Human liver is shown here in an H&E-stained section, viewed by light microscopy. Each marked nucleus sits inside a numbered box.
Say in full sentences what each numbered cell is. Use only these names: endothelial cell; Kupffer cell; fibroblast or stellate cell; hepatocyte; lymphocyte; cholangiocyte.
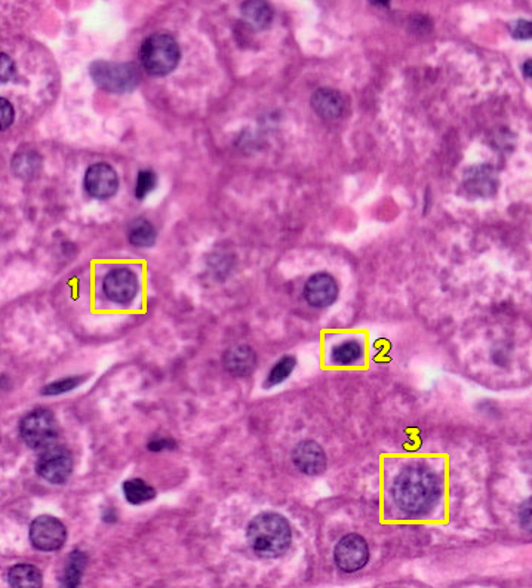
Cell 1 is a hepatocyte, cell 2 is a lymphocyte and cell 3 is a hepatocyte.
